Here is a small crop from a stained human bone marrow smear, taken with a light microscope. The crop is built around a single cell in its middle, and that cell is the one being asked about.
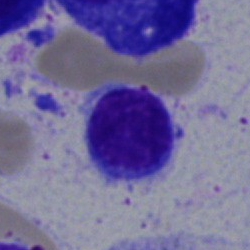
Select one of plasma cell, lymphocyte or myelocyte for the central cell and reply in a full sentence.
In the centre of this crop there is a lymphocyte.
